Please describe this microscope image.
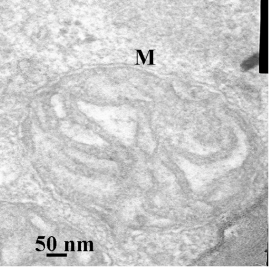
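A single mitochondrion lies in finely granular cytoplasm and is bounded by a thin envelope. Its interior is traversed by curved, folded membranes of the cristae with pale spaces between them.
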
